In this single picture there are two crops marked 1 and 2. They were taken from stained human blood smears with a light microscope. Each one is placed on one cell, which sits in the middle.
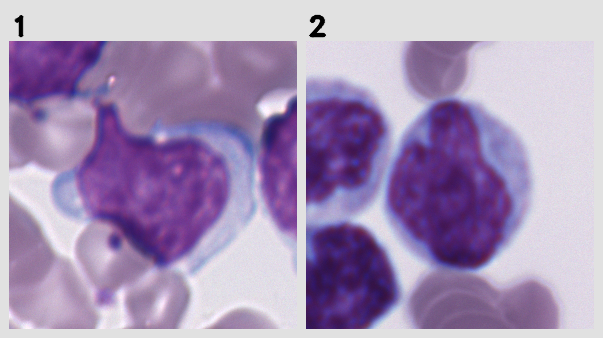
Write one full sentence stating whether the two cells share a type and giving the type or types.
No, in crop 2 the central cell is a monocyte, and in crop 1 it is a myeloblast.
